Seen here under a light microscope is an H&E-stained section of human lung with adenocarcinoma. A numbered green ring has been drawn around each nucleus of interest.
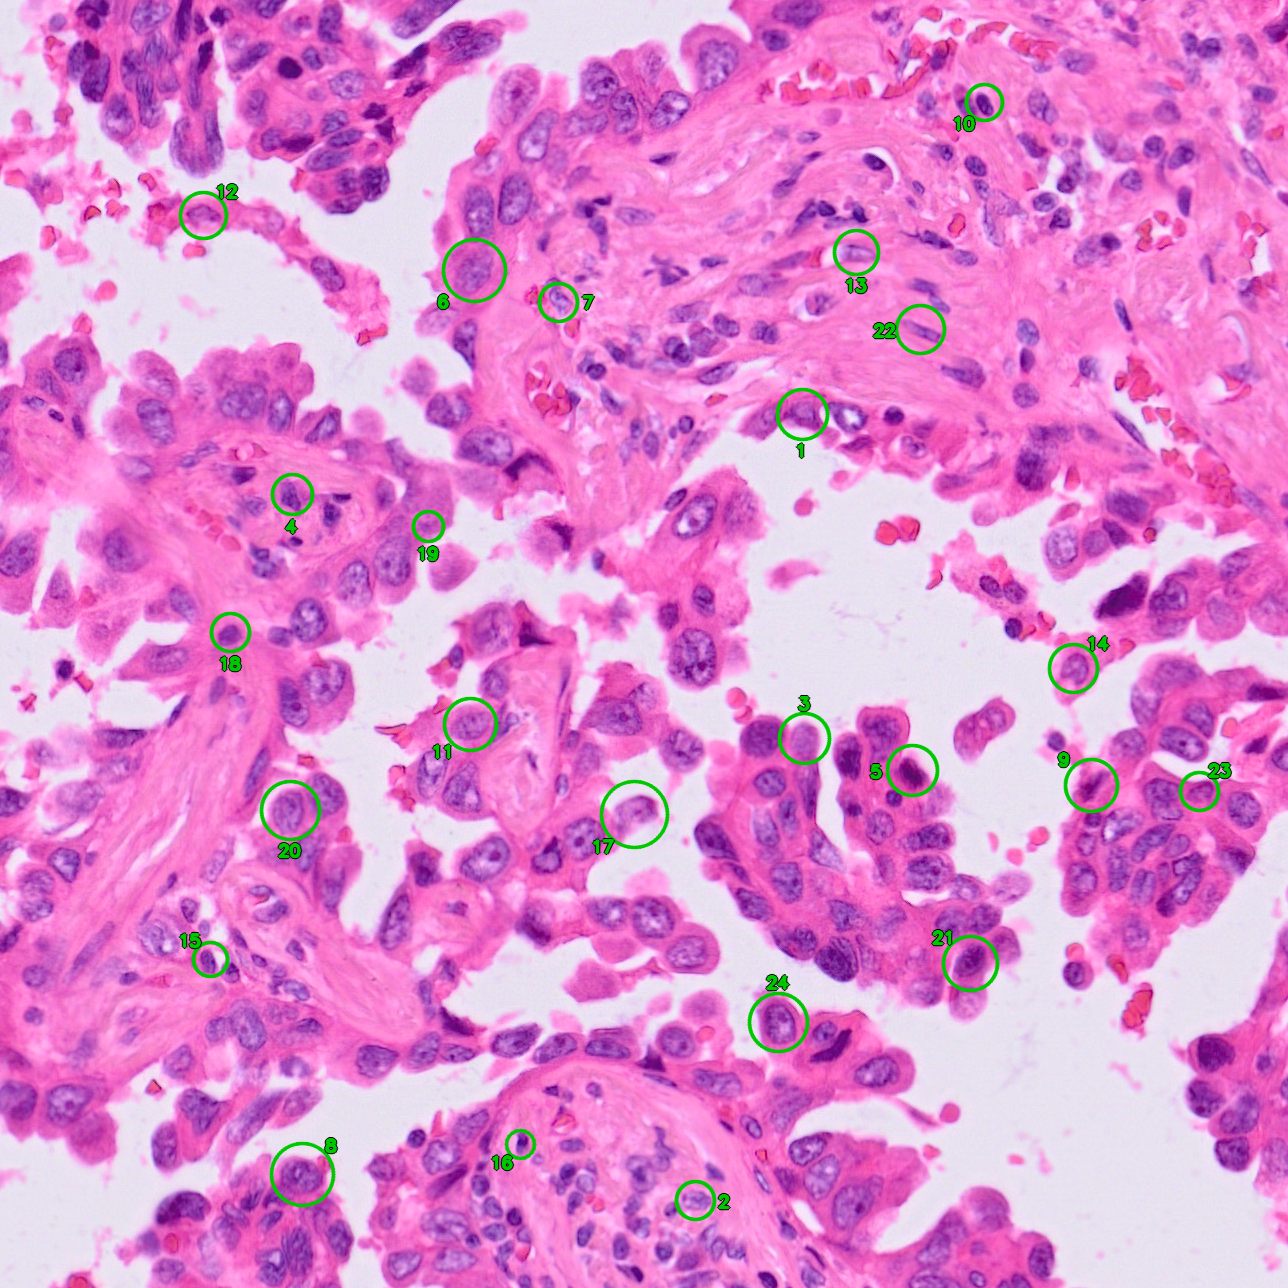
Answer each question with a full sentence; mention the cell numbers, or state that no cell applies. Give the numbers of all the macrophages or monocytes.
The cells that bear the numbers 12 and 14 are macrophages or monocytes.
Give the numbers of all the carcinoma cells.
Cells 1, 3, 5, 6, 8, 9, 11, 17, 19, 20, 21, 23 and 24 are of one type, namely carcinoma cells.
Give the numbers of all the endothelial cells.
Identified as endothelial cells are the cells numbered 7 and 13.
